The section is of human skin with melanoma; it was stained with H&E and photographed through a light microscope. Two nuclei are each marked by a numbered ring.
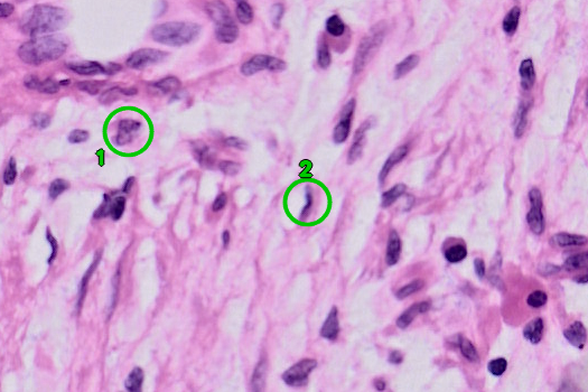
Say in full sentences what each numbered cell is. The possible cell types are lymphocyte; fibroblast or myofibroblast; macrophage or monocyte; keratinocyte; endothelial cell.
Cell 1 is a macrophage or monocyte and cell 2 is a fibroblast or myofibroblast.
